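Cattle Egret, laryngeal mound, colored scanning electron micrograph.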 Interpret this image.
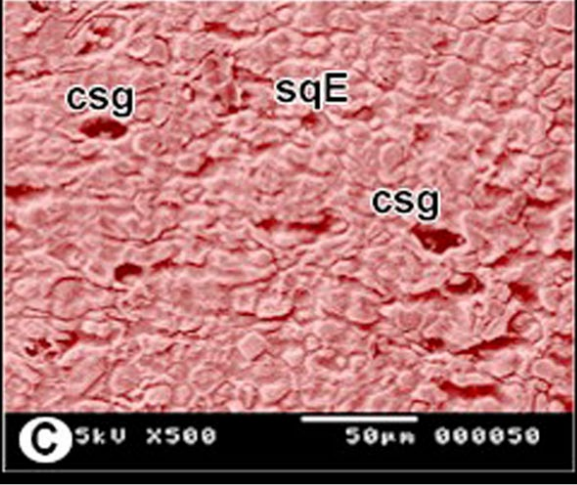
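The surface is paved with many small, flattened polygonal cells whose slightly raised borders give a cobbled, scaly texture. Scattered among them are dark oval and irregular pits of varying size, some of them elongated.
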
